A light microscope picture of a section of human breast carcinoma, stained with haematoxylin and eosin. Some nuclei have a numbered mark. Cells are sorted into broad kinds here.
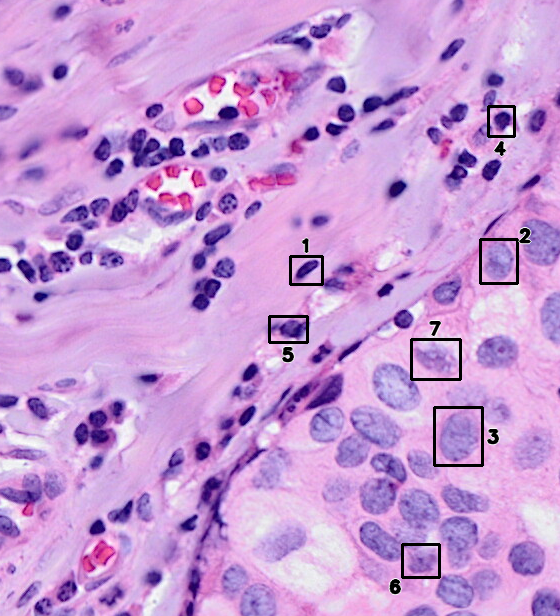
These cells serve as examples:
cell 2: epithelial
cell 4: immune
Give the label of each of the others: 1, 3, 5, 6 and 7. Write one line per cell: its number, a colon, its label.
1: immune
3: epithelial
5: immune
6: epithelial
7: epithelial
